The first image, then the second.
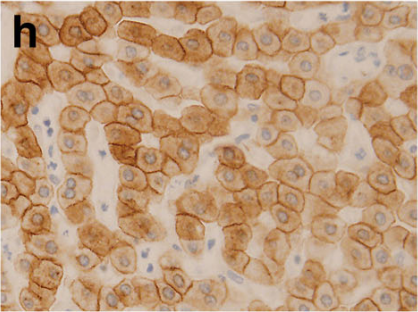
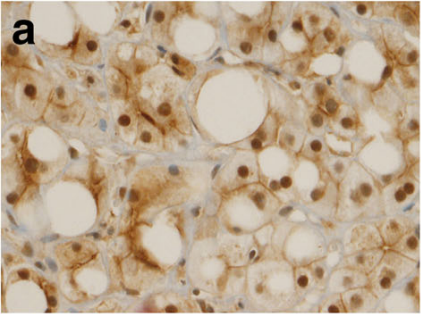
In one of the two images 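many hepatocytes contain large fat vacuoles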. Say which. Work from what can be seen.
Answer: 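The second image. First image: hepatocytes have compact cytoplasm without vacuoles. Second image: many hepatocytes hold large round clear vacuoles.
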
